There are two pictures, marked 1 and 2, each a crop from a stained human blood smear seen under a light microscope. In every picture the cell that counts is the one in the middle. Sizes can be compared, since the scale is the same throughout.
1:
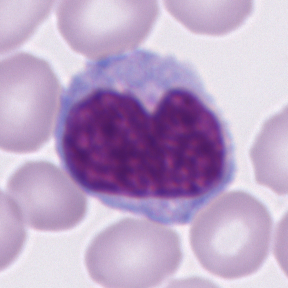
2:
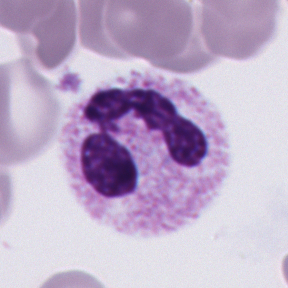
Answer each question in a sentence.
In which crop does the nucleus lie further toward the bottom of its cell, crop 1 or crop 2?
It is the nucleus in crop 1 that lies further toward the bottom of its cell.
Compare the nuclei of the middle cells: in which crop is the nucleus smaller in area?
Crop 2 shows the smaller nucleus, since that in crop 1 covers about 2 times as much area.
